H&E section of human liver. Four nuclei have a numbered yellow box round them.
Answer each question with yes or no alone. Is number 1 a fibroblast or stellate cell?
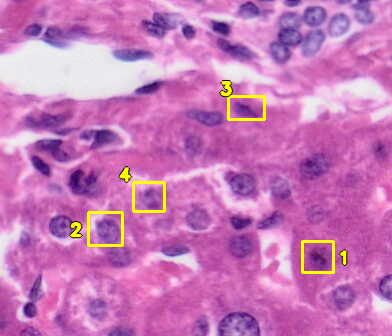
no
